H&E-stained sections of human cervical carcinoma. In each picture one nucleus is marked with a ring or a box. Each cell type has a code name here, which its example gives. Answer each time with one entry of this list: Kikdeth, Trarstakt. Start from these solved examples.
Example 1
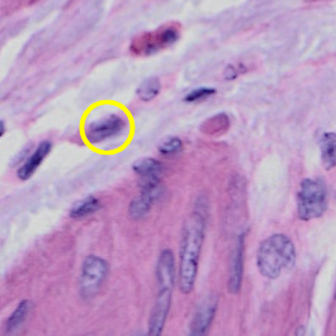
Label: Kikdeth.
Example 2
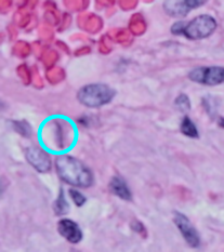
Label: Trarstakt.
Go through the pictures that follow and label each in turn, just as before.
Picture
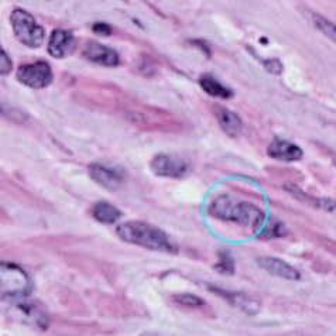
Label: Trarstakt.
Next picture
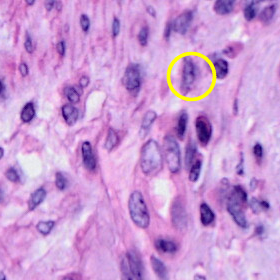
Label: Kikdeth.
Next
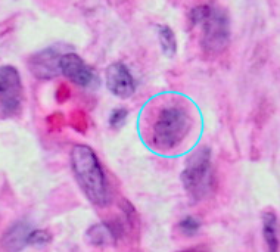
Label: Kikdeth.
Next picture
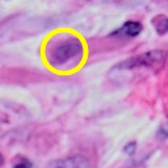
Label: Kikdeth.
